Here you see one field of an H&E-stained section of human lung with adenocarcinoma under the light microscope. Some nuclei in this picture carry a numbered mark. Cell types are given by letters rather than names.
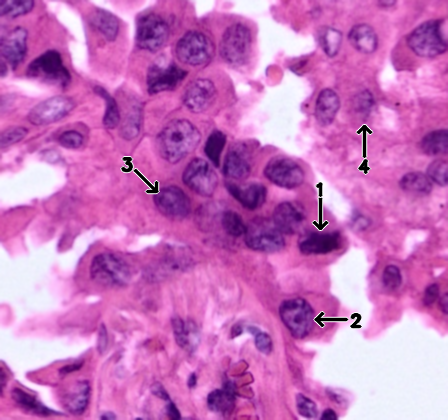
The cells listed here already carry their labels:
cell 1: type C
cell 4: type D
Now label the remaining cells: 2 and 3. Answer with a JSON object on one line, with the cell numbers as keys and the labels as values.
{"2": "type C", "3": "type C"}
